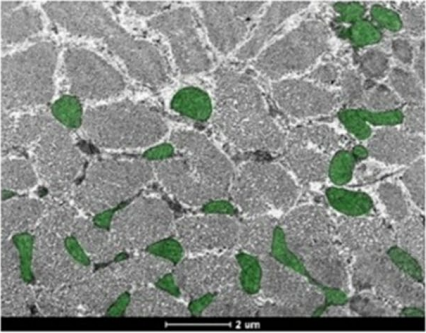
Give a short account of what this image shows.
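This is a transverse section through skeletal muscle fibers seen at the ultrastructural level, with myofibrils cut across as grey polygonal fields of fine granular texture. The myofibrils are separated by a network of narrow pale spaces. Green-highlighted mitochondria, rounded or elongated, lie within these spaces between the myofibrils, some forming small clusters toward the upper right. No nucleus is seen in the field.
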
